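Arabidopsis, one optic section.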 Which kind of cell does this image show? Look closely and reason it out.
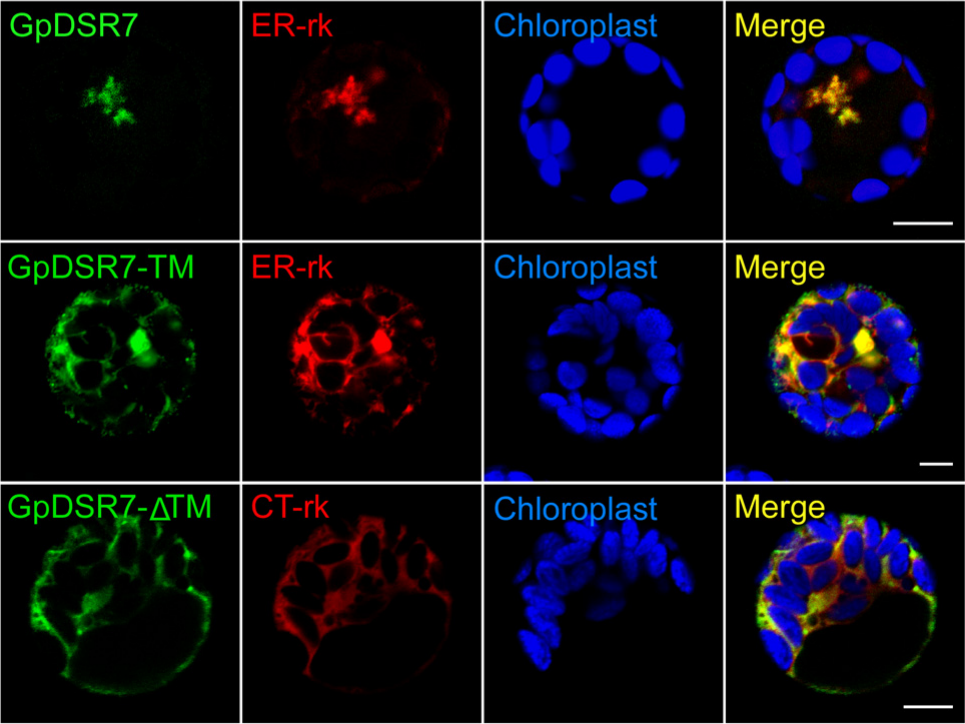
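Mesophyll cells. Round, isolated cells without walls.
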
